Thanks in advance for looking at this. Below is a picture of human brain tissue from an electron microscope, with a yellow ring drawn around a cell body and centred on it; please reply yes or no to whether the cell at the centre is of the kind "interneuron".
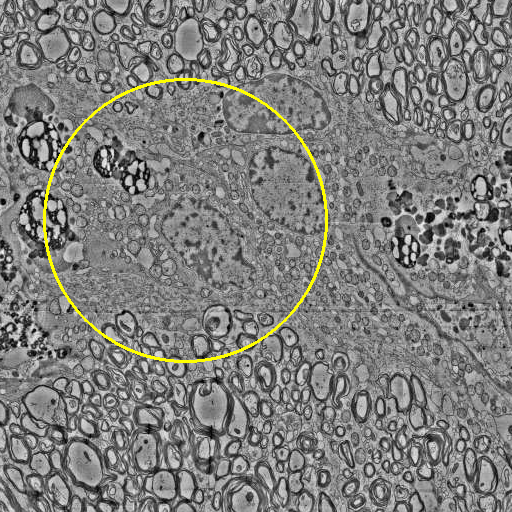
no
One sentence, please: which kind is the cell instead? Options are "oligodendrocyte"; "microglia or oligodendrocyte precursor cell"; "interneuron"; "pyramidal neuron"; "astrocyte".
Instead, the cell at the centre of the yellow ring is an astrocyte.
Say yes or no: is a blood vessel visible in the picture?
Yes, the picture includes a blood vessel.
